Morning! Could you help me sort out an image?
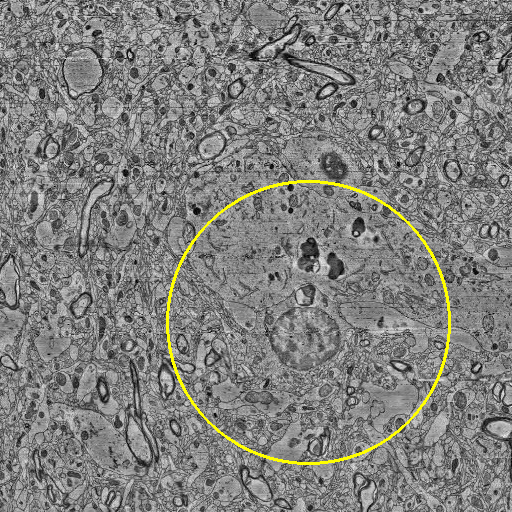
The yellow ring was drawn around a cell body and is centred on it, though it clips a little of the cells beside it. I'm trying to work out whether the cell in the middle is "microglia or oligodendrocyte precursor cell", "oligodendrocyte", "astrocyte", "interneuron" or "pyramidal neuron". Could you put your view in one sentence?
The ringed cell body is that of an oligodendrocyte.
